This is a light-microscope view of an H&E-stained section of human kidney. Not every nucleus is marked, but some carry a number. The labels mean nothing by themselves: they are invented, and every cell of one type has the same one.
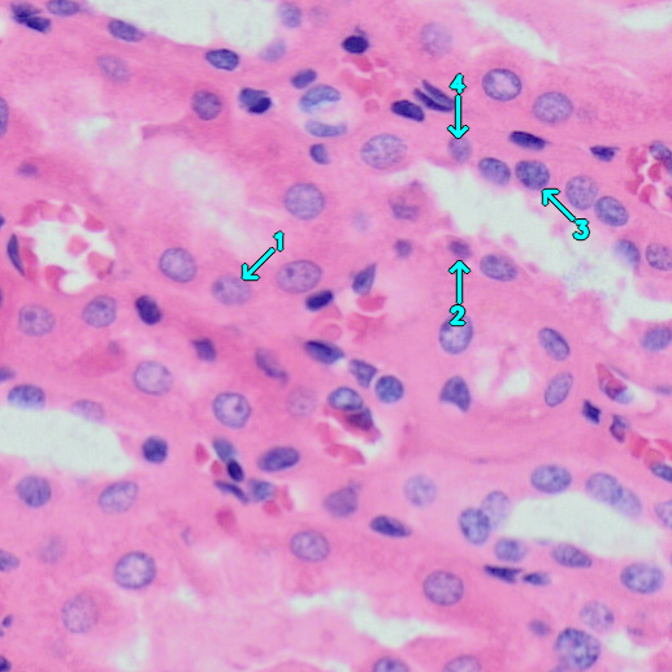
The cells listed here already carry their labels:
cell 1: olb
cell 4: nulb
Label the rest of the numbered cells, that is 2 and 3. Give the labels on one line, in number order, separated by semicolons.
nulb; nulb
